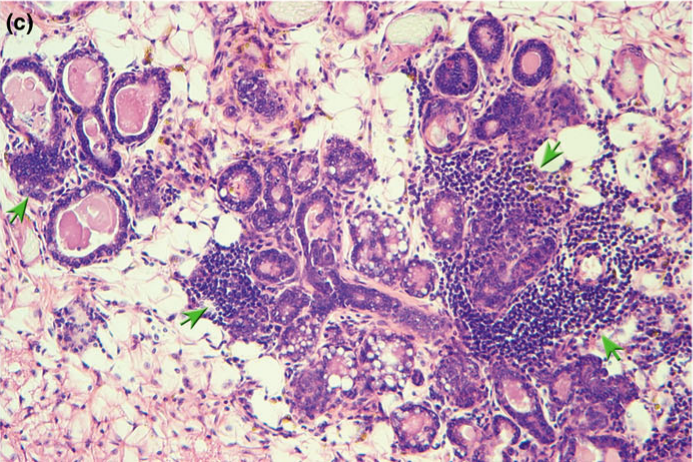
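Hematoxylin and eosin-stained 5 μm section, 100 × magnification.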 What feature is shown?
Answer: acinar structures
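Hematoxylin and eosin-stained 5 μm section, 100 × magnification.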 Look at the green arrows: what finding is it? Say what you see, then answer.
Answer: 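Lymphocytic infiltration. Dense sheets of small round dark-purple nuclei with scant cytoplasm lie between the epithelial structures. These small cells crowd around the glandular units.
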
